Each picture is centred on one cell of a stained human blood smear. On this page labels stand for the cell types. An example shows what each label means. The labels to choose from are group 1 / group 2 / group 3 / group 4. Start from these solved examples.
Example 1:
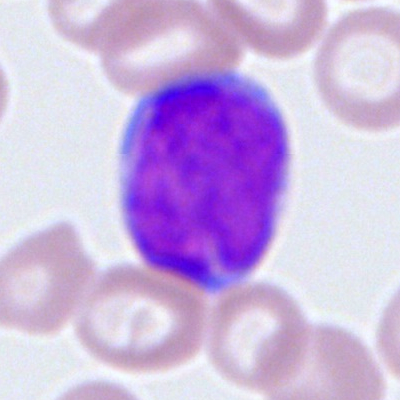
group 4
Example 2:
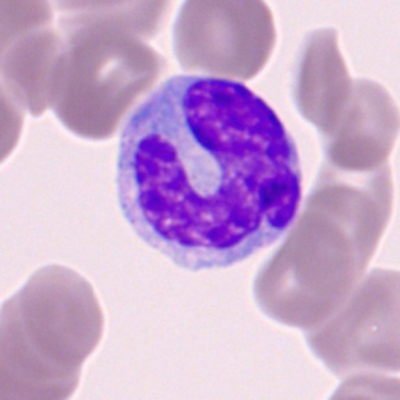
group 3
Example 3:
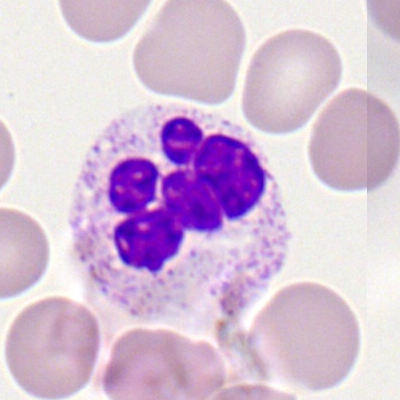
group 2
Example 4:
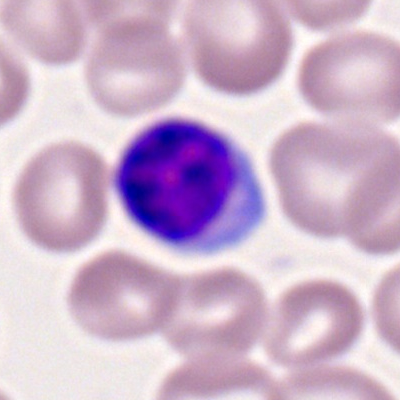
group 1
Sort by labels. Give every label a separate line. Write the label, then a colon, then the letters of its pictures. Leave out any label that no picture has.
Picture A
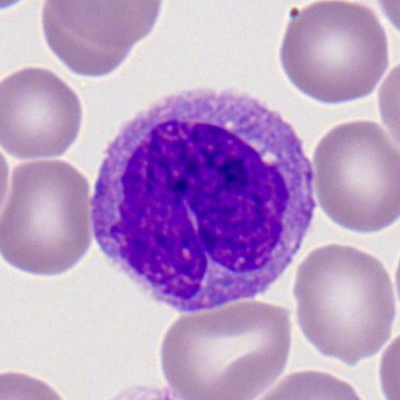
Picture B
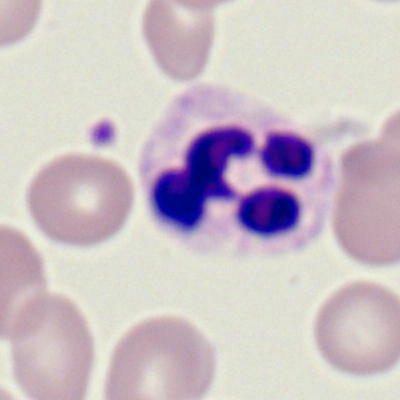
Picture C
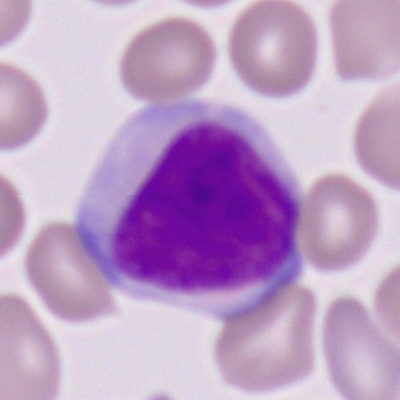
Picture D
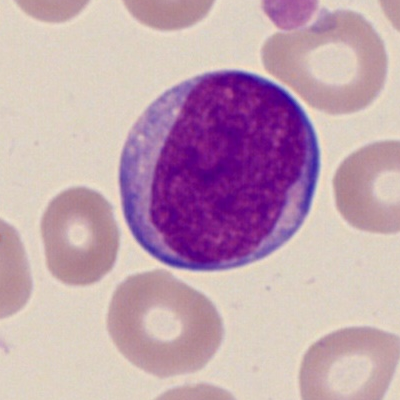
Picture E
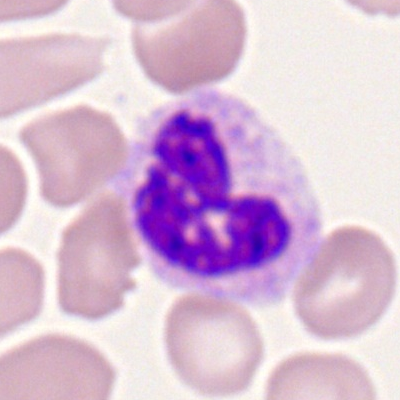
group 2: B, E
group 3: A
group 4: C, D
